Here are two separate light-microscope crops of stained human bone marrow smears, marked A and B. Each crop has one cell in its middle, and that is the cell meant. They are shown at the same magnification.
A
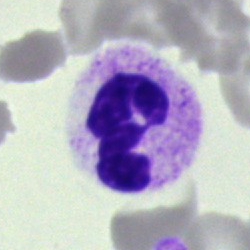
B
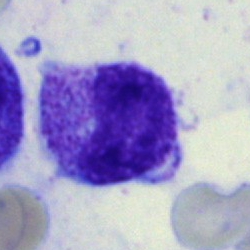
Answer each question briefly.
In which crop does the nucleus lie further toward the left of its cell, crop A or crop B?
A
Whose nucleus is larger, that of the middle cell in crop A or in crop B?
B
